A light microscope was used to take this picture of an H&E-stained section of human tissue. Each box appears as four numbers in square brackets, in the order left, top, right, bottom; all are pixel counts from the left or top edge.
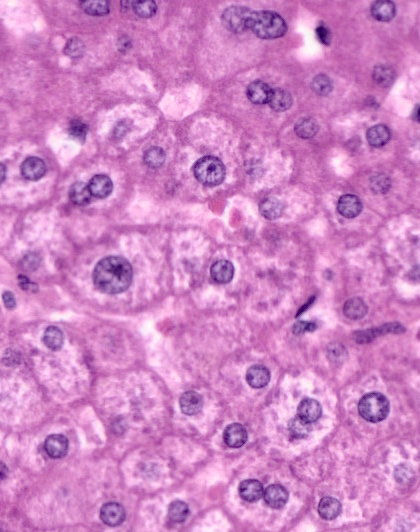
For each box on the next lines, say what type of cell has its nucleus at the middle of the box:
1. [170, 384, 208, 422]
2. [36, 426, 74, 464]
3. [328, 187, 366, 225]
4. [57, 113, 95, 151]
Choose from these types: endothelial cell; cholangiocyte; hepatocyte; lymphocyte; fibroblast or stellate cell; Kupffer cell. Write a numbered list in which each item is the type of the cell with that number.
1. hepatocyte
2. hepatocyte
3. hepatocyte
4. endothelial cell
